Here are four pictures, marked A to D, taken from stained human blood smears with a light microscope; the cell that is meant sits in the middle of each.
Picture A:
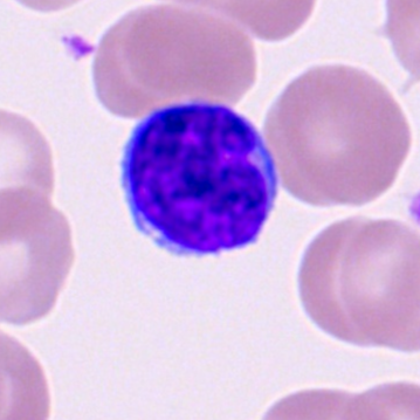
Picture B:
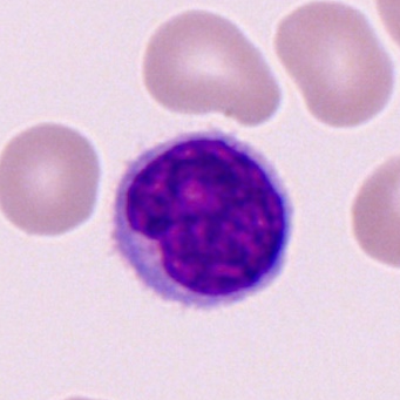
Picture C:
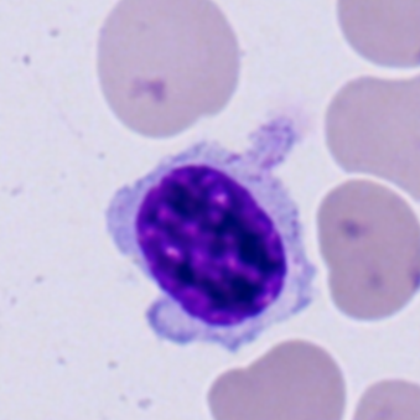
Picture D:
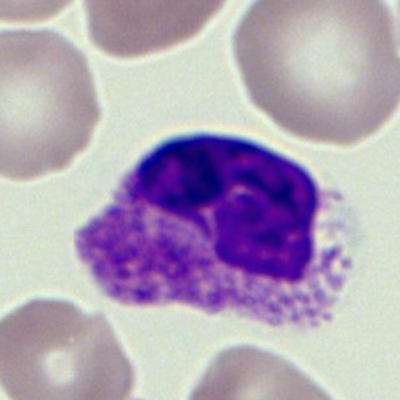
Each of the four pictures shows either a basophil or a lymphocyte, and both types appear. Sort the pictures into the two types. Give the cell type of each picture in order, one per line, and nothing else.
lymphocyte
lymphocyte
lymphocyte
basophil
